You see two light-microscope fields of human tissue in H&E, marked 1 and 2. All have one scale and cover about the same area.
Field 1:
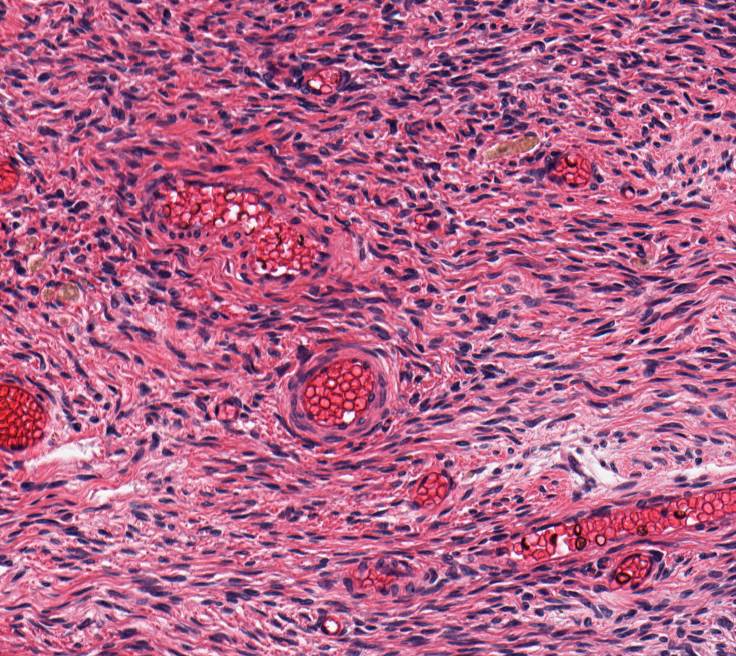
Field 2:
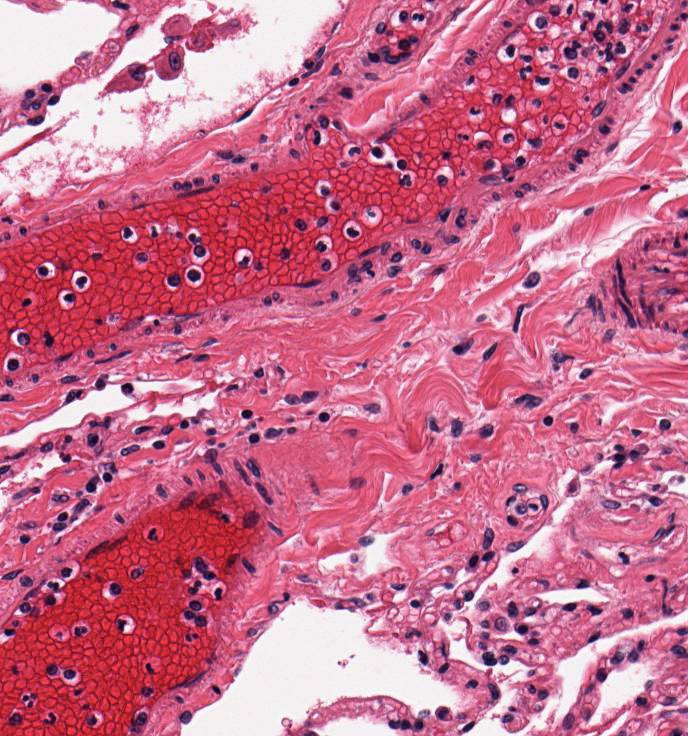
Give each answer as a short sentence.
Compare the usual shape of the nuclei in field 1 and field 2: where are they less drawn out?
The nuclei are rounder in field 2.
